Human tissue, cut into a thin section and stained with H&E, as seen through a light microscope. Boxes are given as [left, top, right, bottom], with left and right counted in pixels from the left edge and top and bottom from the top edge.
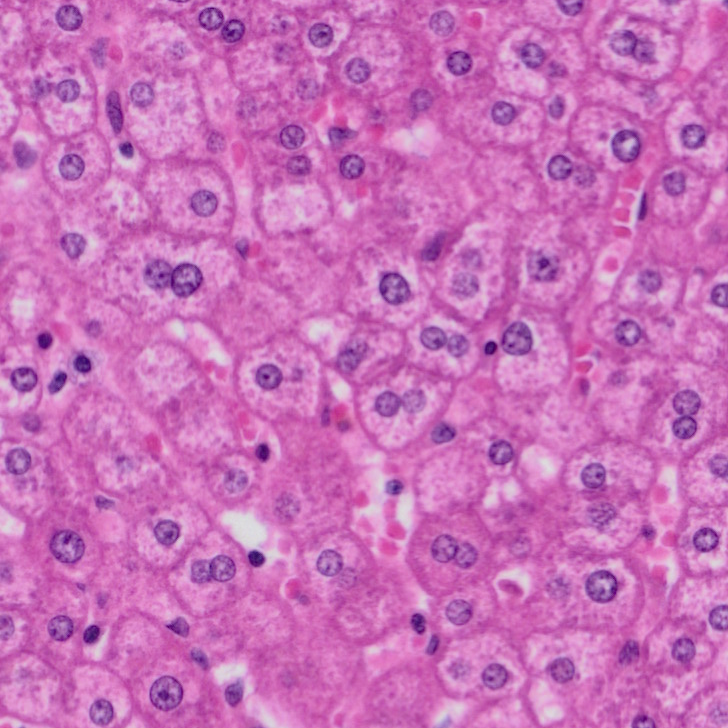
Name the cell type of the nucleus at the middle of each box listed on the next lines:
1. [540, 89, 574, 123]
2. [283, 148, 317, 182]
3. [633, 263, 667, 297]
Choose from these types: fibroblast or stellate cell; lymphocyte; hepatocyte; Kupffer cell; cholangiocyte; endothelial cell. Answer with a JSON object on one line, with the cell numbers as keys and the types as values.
{"1": "Kupffer cell", "2": "hepatocyte", "3": "hepatocyte"}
